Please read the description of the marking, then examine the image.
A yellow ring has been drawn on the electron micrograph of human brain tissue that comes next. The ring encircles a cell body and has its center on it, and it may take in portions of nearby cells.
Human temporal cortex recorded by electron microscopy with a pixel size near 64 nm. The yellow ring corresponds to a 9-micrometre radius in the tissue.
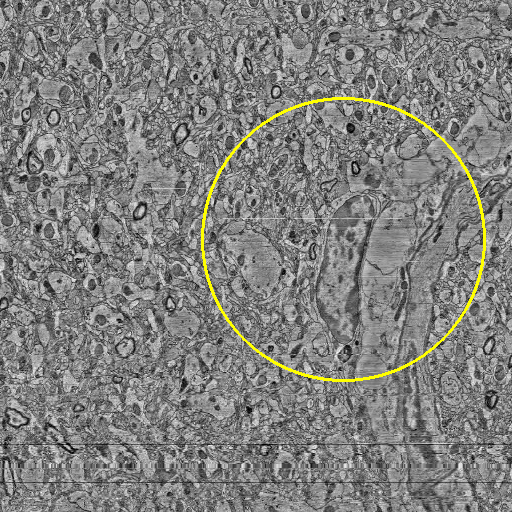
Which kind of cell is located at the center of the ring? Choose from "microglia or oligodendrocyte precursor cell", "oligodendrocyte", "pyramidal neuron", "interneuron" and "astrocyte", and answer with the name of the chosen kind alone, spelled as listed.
microglia or oligodendrocyte precursor cell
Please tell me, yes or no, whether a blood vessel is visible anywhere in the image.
Yes, one is visible.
